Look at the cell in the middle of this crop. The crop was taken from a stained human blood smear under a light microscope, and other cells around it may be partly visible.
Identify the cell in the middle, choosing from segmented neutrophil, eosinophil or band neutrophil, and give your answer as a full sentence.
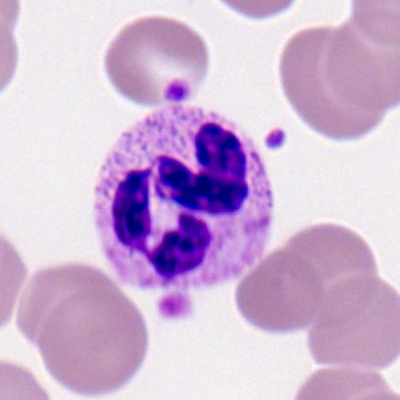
In the centre of this crop there is a segmented neutrophil.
